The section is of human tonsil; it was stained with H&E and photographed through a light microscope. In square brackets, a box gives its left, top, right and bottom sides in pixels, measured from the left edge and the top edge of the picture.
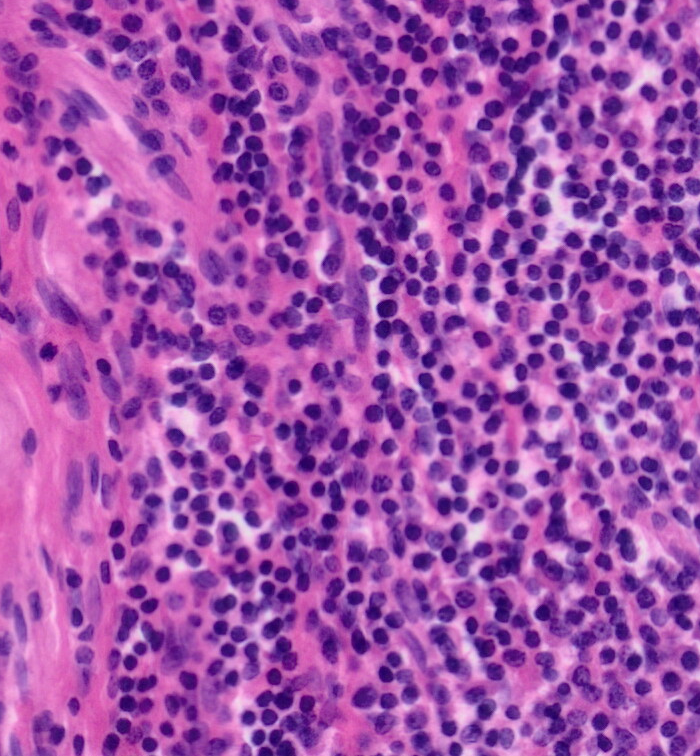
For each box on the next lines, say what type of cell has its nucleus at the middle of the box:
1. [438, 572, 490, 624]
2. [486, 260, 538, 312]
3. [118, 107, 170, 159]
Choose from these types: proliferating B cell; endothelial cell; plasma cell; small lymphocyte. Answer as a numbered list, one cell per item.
1. plasma cell
2. small lymphocyte
3. endothelial cell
